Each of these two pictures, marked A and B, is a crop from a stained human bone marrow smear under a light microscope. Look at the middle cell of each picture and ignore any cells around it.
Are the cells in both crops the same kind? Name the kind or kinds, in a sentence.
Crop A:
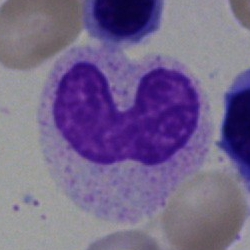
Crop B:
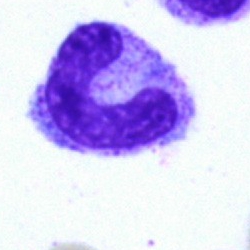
Yes, the cells placed at the centre of both crops are band neutrophils.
